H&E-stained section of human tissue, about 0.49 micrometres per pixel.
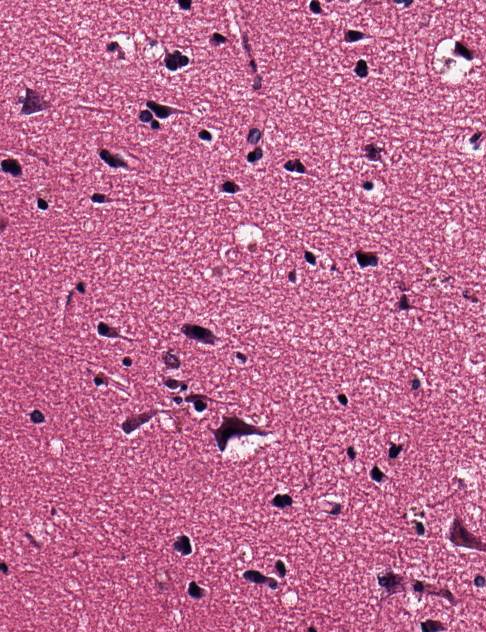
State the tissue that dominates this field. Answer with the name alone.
cerebral cortex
